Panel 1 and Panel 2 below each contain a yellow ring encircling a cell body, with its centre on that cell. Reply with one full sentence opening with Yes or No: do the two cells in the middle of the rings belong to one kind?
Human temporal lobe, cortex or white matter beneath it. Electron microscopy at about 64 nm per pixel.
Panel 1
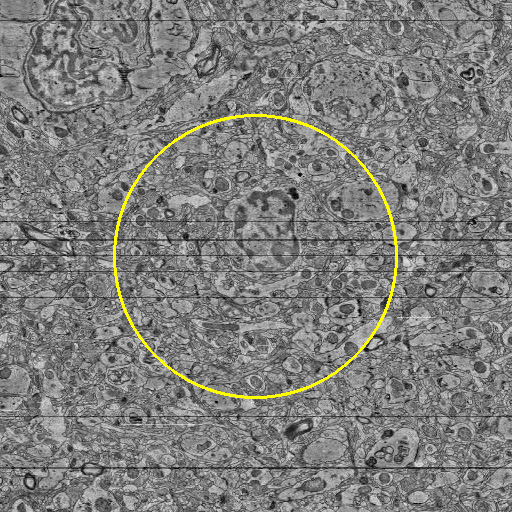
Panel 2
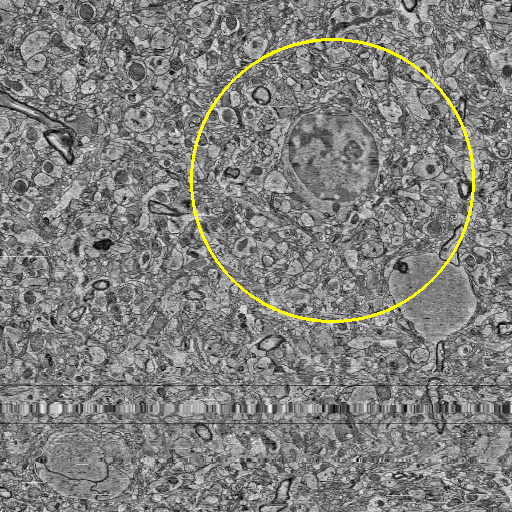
No, the cells at the middle of the Panel 1 ring and the Panel 2 ring are of two kinds.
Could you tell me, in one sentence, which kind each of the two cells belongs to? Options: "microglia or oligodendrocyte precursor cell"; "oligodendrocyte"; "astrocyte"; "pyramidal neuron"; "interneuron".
At the centre of the first ring sits a microglial cell or oligodendrocyte precursor cell, and at the centre of the second sits an oligodendrocyte.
